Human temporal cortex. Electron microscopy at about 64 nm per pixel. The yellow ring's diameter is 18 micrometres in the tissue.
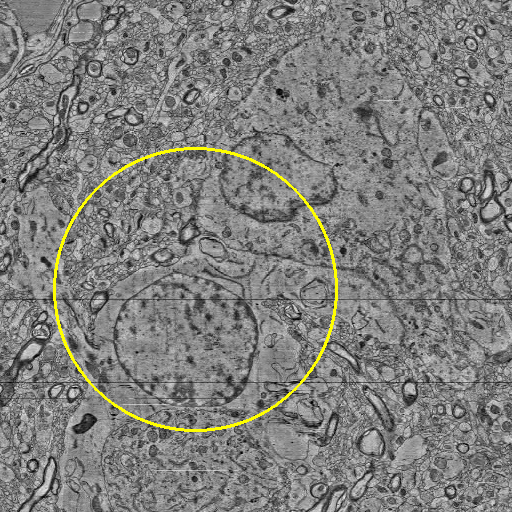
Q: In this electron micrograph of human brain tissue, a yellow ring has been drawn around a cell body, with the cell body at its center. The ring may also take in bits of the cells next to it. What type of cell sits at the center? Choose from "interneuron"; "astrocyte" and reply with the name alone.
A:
astrocyte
